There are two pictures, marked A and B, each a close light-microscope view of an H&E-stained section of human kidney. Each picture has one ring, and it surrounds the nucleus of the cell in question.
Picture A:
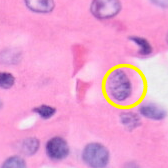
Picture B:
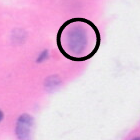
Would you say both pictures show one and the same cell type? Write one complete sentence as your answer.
Yes, they are the same type: both are “loop of Henle or distal tubule cells”.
